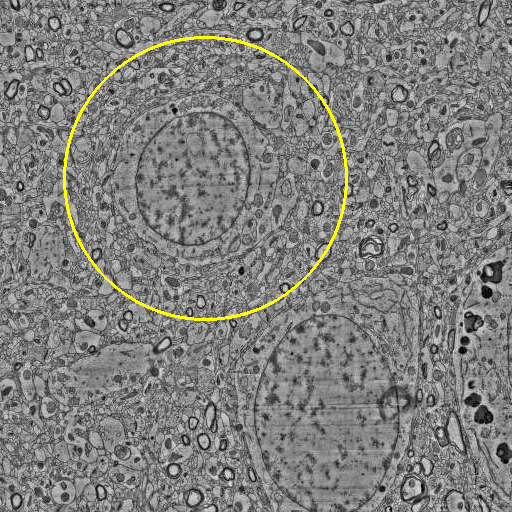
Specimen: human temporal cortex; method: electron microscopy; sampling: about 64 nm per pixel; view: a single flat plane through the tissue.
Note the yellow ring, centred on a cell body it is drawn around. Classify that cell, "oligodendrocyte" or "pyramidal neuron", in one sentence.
The cell the ring is centred on is a pyramidal neuron.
